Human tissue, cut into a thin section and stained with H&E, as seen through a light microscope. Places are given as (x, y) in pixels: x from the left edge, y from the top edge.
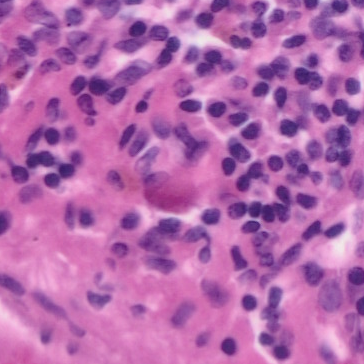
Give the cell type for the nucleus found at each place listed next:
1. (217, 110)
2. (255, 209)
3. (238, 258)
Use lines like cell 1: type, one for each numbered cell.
cell 1: plasma cell
cell 2: small lymphocyte
cell 3: mast cell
